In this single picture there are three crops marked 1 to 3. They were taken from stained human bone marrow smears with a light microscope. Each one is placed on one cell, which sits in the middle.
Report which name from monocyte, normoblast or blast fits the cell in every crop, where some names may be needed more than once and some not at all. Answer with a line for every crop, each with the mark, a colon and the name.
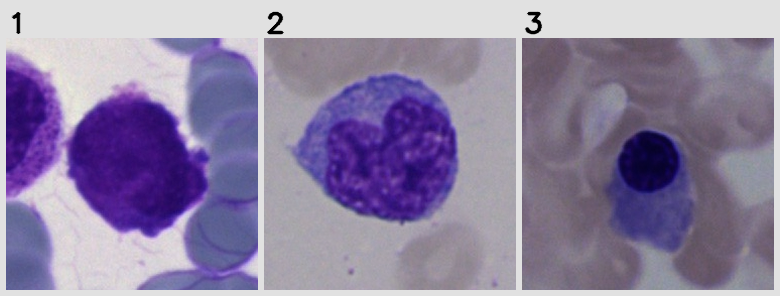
1: blast
2: monocyte
3: normoblast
